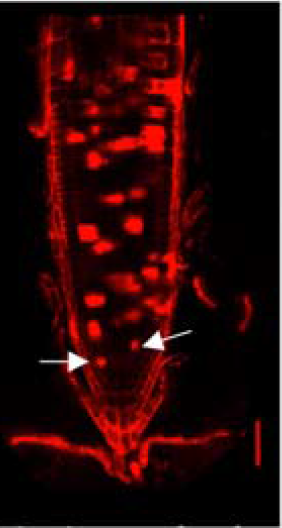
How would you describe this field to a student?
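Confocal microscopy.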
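This is the tip of a young plant root, its meristem, seen in an optical section. The cell walls are traced as thin red lines, so the small box-like cells can be followed in files running up from the tip, with a cap of cells at the very end. What is unusual here is that many cells inside the root are not just outlined but completely filled with bright red: scattered blocks of solid red lie among the files, most of them in the inner part of the root above the tip. The arrows point to two small filled cells close to the tip.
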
